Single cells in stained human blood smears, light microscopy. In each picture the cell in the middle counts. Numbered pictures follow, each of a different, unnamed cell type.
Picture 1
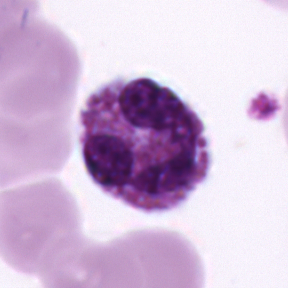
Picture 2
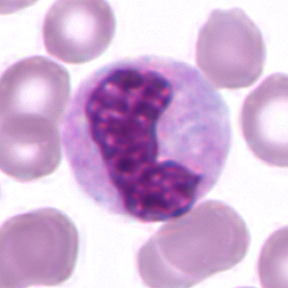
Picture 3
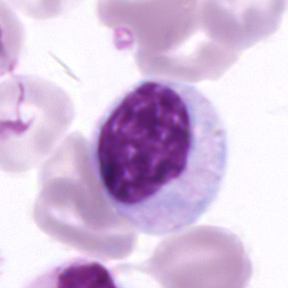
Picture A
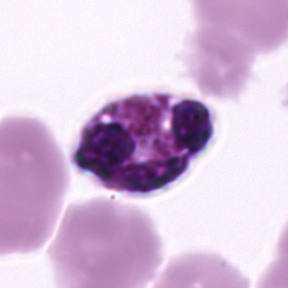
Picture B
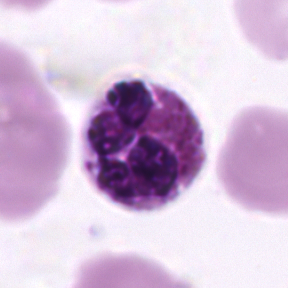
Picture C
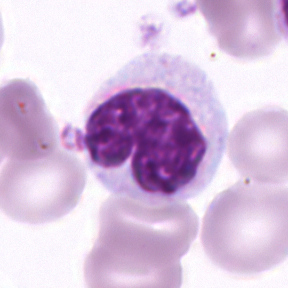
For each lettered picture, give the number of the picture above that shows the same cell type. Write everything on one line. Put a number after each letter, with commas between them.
A 1, B 1, C 2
